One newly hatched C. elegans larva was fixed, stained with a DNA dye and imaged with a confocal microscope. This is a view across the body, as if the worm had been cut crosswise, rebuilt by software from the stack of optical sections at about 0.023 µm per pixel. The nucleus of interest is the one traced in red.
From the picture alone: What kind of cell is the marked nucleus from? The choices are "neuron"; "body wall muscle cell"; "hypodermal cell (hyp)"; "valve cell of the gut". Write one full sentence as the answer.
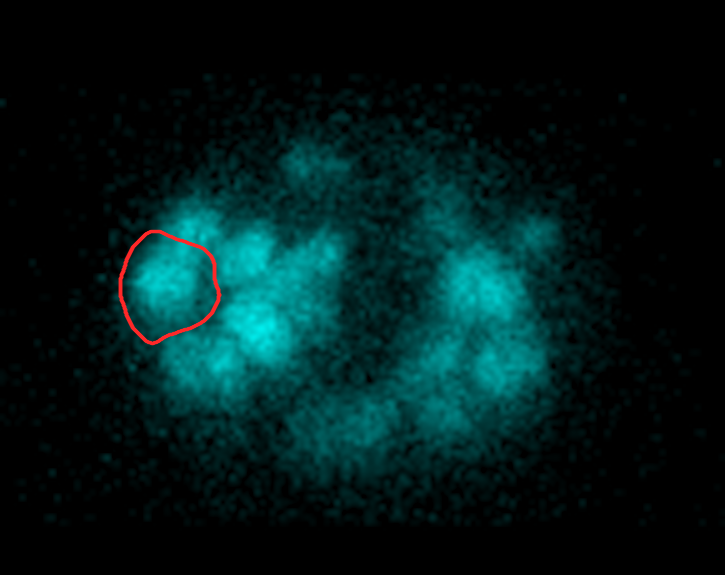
The marked nucleus belongs to a neuron.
